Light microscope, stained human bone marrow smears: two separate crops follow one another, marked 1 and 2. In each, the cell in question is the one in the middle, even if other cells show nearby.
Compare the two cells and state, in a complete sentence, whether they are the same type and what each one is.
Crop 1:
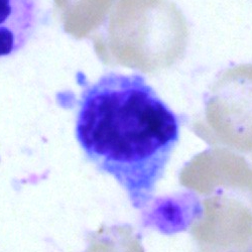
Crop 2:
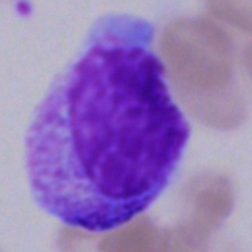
No, crop 1 gives us a monocyte and crop 2 gives us a myelocyte.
